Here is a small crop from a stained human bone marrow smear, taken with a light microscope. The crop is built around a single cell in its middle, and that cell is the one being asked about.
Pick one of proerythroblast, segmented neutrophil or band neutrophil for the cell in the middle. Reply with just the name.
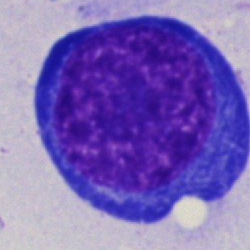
proerythroblast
